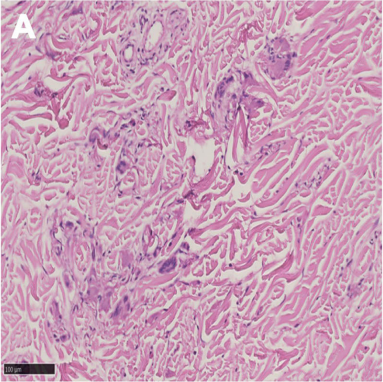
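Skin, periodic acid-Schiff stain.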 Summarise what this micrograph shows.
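Dermis with pink, fragmented fiber bundles running in many directions, separated by clefts. Between the fibers lie clusters of inflammatory cells with purple nuclei, among them large multinucleated giant cells. The infiltrate is interstitial, spread among the fibers rather than forming a compact mass.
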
